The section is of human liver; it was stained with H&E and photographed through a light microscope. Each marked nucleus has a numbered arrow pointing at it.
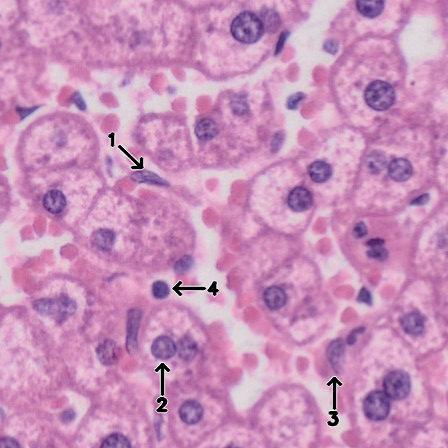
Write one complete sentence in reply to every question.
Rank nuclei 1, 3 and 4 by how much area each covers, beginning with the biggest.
Going from the biggest nucleus down to the smallest gives 3, 1, 4.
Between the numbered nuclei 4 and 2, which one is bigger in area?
The larger nucleus is 2, at roughly 1.5 times the area of 4.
